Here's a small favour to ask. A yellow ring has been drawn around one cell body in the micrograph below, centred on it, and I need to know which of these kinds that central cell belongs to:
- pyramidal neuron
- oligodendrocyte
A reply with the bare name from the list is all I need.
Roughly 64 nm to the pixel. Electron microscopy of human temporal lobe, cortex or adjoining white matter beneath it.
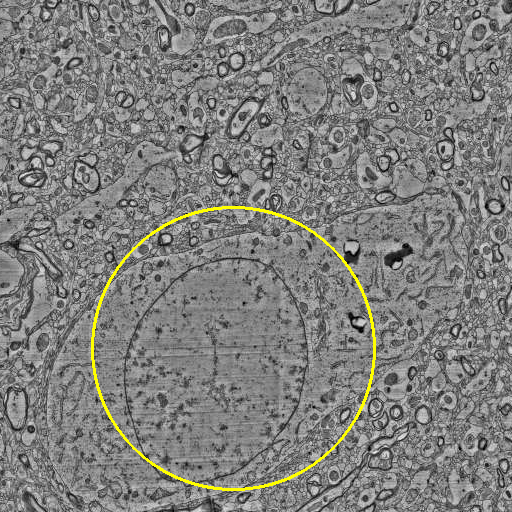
pyramidal neuron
